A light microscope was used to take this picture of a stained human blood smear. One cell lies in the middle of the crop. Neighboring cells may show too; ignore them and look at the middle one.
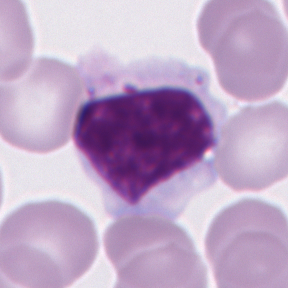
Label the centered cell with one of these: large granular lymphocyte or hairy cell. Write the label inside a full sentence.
This crop has a large granular lymphocyte at its centre.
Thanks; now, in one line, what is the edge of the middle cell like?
Projections or ragged segments give this cell an irregular rather than smooth border.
